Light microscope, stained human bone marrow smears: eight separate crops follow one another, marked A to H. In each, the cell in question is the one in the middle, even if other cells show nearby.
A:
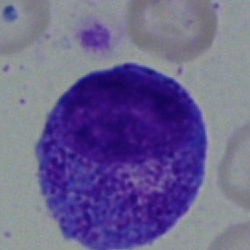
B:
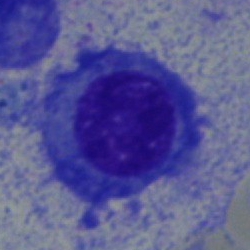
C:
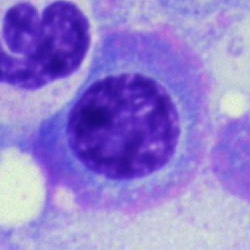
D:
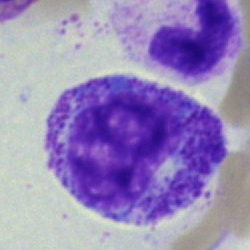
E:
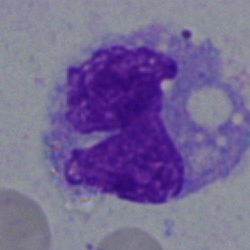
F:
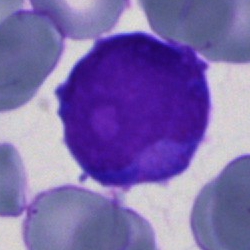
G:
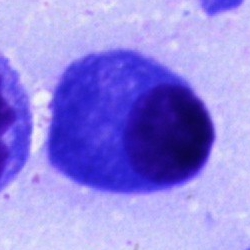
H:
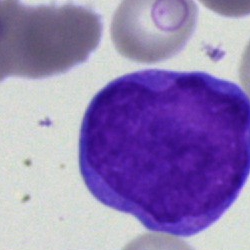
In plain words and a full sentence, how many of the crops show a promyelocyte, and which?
Here, a promyelocyte is shown in one crop only, namely crop A.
